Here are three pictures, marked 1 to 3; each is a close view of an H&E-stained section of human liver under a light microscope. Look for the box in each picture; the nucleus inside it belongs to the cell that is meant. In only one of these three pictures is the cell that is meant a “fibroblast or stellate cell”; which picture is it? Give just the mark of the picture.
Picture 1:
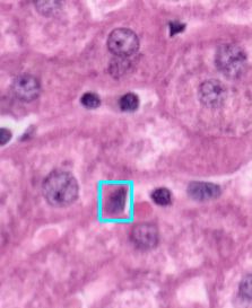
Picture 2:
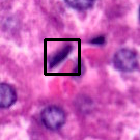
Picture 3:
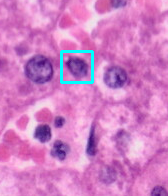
3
